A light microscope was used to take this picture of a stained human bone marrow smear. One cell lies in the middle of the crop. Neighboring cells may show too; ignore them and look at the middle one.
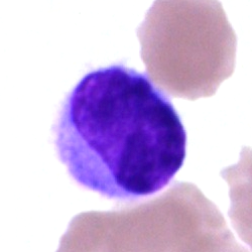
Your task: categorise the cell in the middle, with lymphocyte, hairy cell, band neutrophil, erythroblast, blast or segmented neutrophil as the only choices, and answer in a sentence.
The cell at the middle of the frame should be recorded as a hairy cell.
